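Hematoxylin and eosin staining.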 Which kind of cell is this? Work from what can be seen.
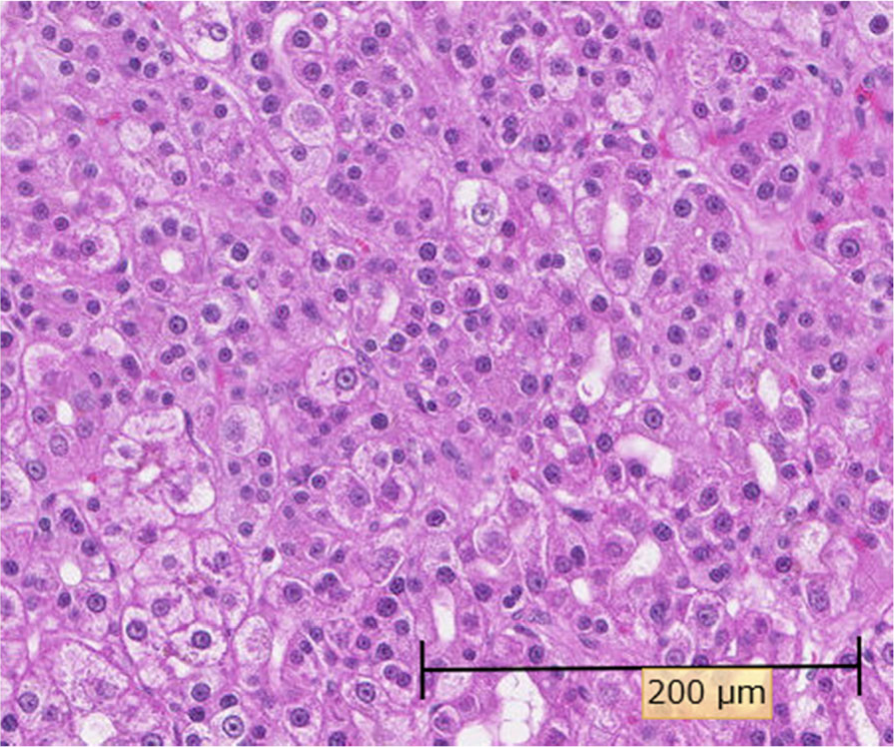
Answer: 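The cells are many-sided and press against one another. Each cell has a round, dark purple nucleus, often with a visible nucleolus. The cytoplasm is abundant and pink. That points to this answer: Polygonal tumor cells.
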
